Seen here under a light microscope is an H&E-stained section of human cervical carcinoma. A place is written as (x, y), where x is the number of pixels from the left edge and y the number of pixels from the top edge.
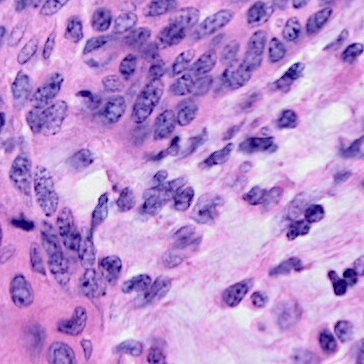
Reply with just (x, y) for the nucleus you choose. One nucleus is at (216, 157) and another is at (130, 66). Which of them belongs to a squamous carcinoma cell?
(130, 66)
